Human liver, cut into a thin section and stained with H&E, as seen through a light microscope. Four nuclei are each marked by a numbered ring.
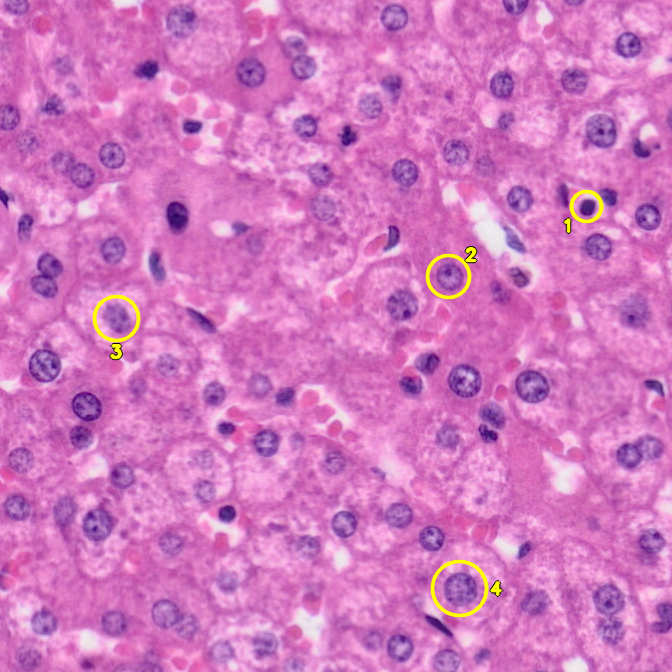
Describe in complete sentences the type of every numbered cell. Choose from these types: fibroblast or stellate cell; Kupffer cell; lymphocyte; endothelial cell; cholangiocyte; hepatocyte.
Cell 1 is a lymphocyte. Cells 2, 3 and 4 are hepatocytes.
